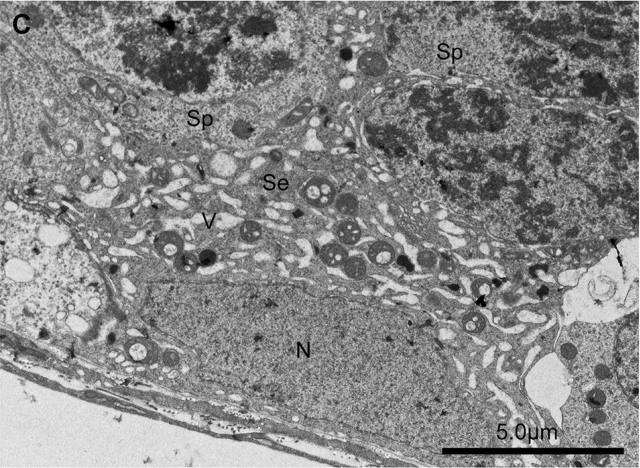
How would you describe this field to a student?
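This electron micrograph shows the base of a seminiferous tubule with a sertoli cell beneath spermatocytes. The sertoli cell has an elongated, pale nucleus with finely dispersed chromatin lying along the base of the epithelium. Its cytoplasm above the nucleus is crowded with many round mitochondria and numerous irregular, electron-lucent vacuoles. The spermatocytes above have large nuclei with coarse, dark clumps of condensed chromatin. Flattened cells of the tubule wall run along the bottom edge.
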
